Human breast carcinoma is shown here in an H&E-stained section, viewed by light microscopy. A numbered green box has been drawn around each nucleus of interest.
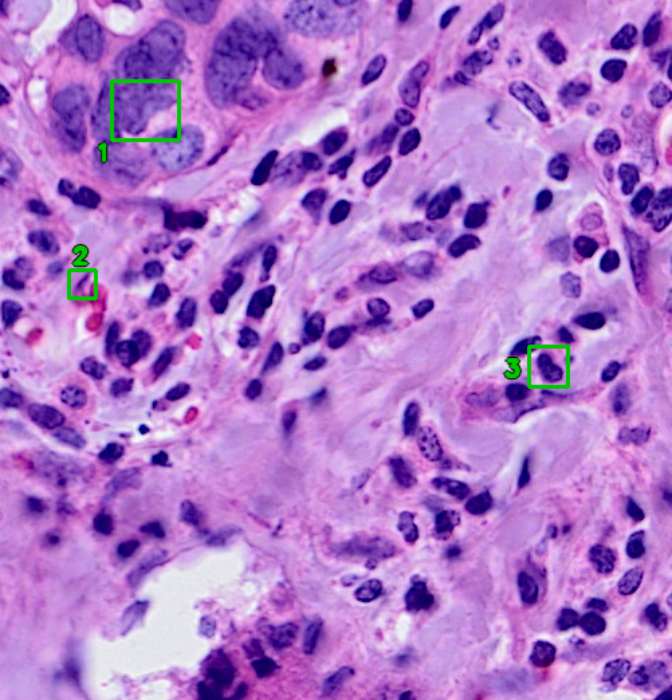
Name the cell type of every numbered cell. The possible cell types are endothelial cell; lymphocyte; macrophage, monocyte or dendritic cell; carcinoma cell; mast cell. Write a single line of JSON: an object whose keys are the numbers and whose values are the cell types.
{"1": "carcinoma cell", "2": "endothelial cell", "3": "lymphocyte"}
